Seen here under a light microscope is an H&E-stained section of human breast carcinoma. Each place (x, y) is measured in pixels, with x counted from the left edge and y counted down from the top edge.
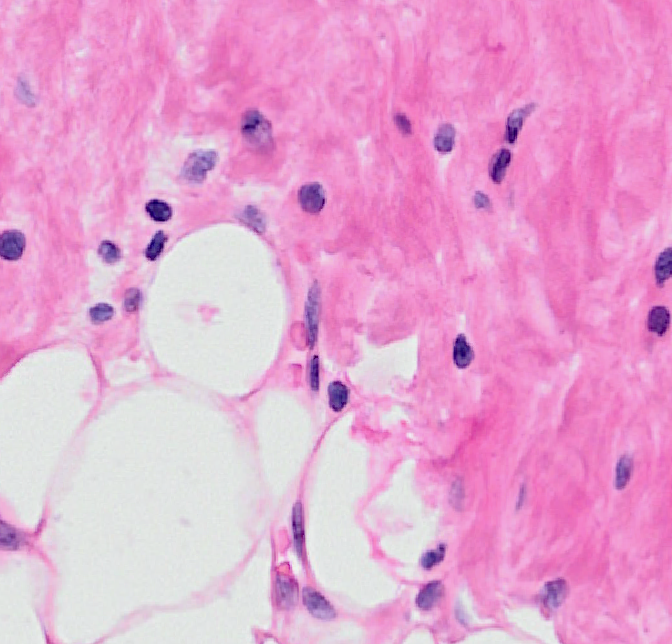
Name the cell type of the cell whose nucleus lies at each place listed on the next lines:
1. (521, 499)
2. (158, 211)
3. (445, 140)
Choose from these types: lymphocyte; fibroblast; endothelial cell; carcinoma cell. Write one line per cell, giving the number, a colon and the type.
1: fibroblast
2: lymphocyte
3: lymphocyte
